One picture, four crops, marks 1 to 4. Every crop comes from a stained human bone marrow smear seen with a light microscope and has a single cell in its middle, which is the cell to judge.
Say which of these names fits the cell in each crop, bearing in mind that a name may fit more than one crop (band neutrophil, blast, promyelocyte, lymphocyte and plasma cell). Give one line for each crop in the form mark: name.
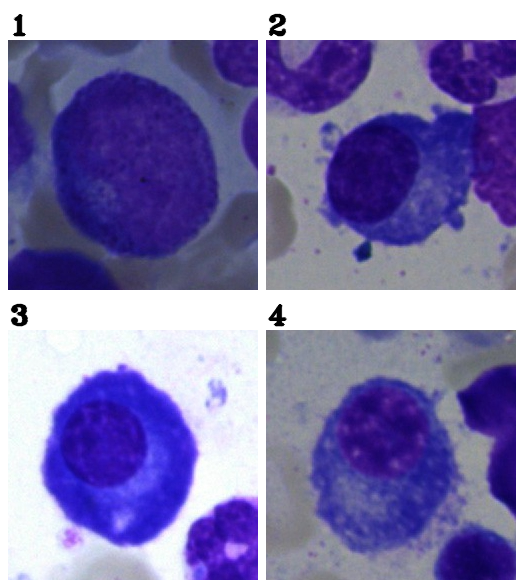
1: promyelocyte
2: plasma cell
3: plasma cell
4: plasma cell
